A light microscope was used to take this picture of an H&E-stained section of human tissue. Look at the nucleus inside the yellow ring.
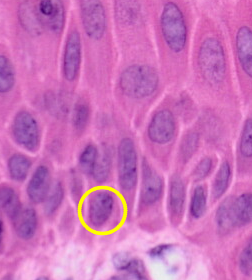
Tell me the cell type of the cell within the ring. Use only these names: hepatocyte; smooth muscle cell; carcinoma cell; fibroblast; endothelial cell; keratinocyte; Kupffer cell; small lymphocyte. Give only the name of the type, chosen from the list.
keratinocyte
